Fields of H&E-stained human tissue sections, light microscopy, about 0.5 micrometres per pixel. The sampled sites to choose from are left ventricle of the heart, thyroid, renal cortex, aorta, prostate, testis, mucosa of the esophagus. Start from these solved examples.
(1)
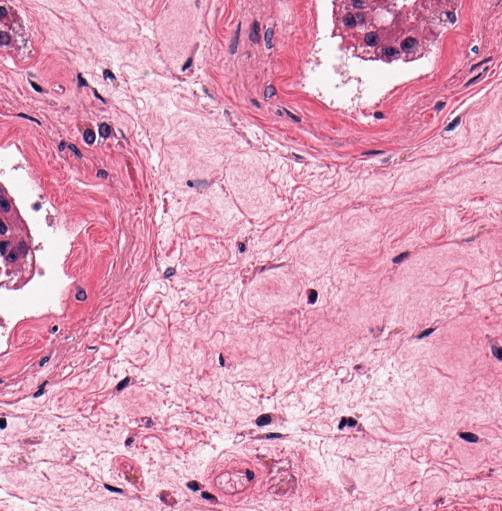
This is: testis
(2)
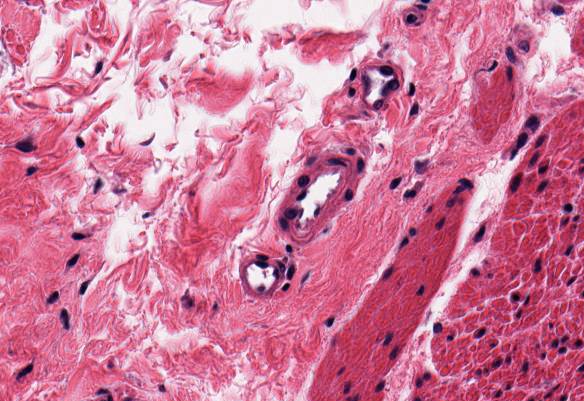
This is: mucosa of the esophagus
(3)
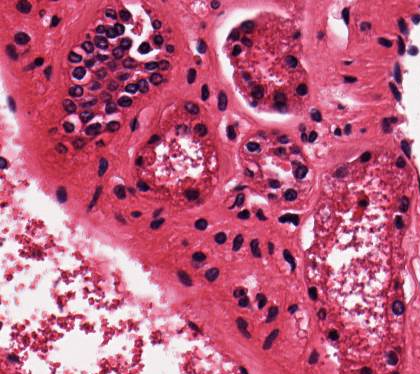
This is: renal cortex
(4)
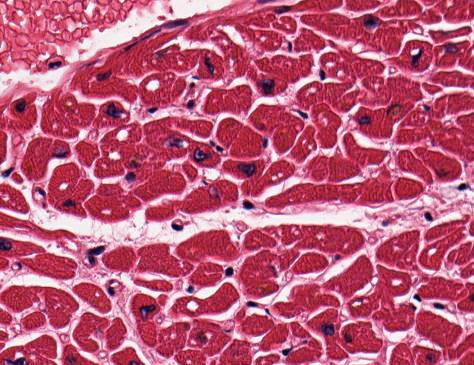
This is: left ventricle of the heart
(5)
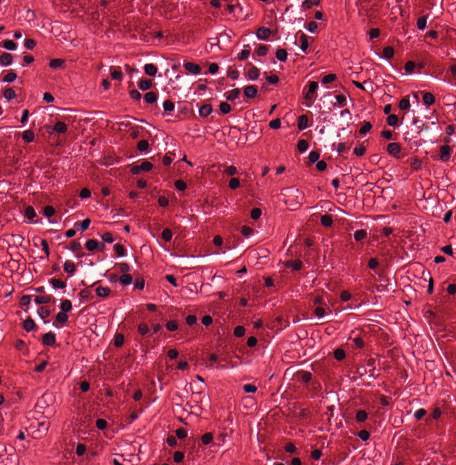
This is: renal cortex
